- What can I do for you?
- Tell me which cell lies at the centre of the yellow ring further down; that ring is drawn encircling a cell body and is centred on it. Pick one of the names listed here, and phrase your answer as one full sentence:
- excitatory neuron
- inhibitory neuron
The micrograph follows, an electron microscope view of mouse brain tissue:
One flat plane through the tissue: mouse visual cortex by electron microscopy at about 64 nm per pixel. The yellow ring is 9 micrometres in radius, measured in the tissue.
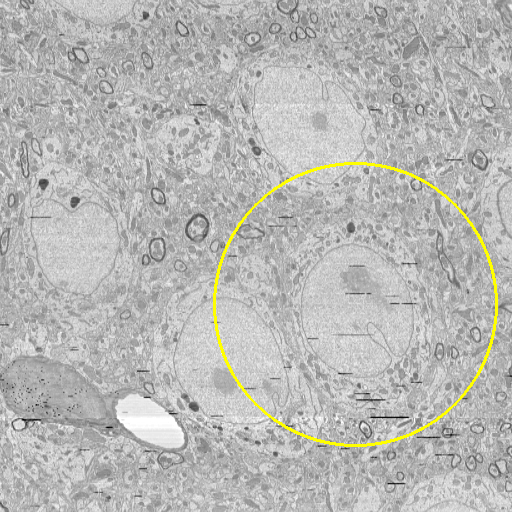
The cell whose body lies at the centre of the yellow ring is an inhibitory neuron.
